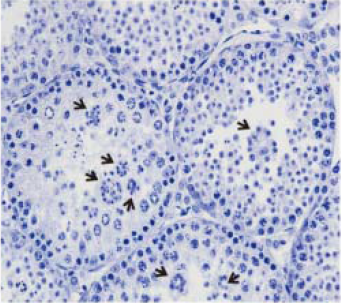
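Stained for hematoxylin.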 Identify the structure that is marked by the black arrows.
Round spermatid clusters.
